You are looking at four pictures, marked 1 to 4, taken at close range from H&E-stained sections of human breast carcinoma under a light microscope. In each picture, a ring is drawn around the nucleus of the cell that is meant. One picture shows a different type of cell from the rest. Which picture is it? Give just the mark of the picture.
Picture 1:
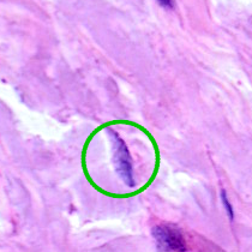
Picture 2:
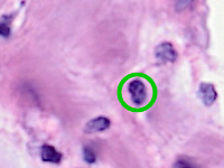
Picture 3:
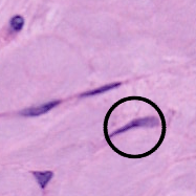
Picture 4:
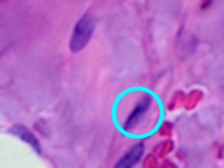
2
